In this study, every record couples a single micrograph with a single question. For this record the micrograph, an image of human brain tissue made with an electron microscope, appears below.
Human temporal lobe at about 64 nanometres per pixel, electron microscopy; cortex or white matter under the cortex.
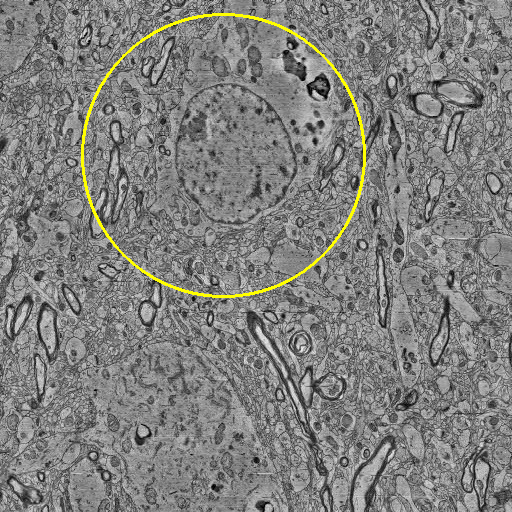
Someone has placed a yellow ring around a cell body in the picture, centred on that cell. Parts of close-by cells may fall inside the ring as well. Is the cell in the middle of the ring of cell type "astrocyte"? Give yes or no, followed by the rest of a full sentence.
Yes, the cell centred in the ring shown in the picture does have that cell type.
